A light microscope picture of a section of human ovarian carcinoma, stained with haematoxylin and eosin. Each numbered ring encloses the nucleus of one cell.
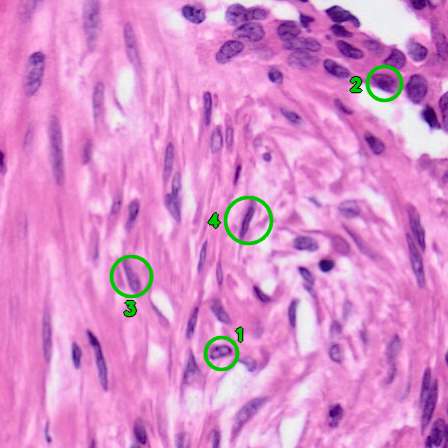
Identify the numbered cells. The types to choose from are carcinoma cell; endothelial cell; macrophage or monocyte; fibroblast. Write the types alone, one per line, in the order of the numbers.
fibroblast
carcinoma cell
fibroblast
fibroblast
